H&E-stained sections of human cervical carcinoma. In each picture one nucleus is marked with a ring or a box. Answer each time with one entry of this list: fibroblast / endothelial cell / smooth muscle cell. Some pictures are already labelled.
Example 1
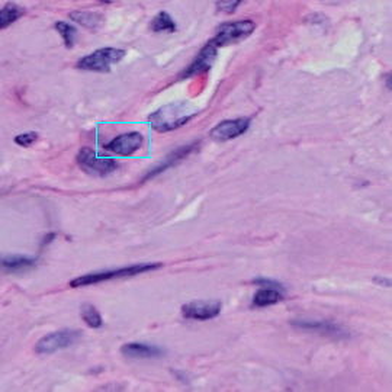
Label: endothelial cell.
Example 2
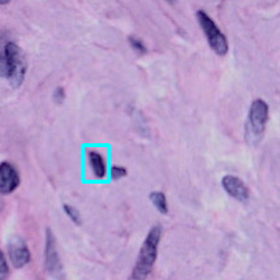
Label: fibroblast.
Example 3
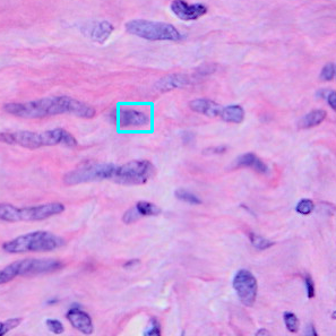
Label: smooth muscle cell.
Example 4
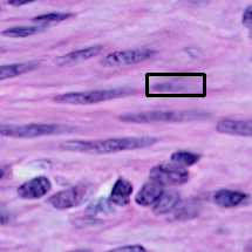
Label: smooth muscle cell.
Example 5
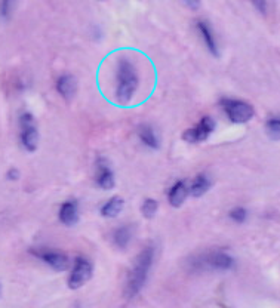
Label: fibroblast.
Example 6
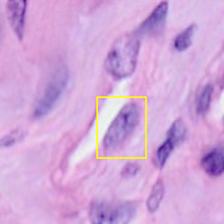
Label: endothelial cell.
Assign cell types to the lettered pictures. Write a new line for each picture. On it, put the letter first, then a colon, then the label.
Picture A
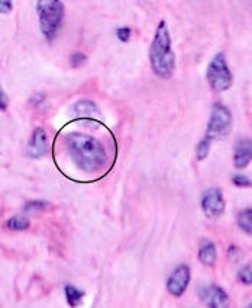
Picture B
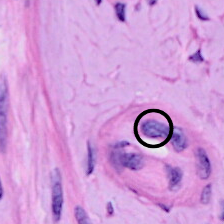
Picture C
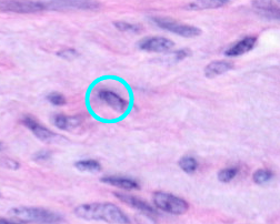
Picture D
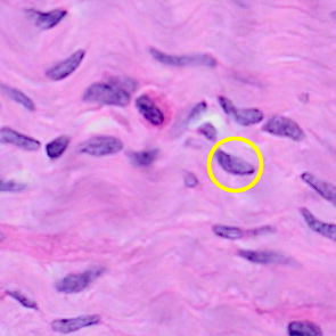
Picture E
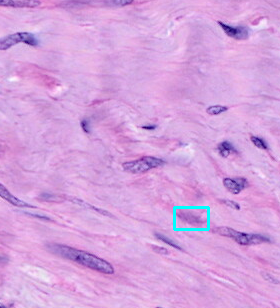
A: endothelial cell.
B: endothelial cell.
C: smooth muscle cell.
D: fibroblast.
E: smooth muscle cell.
